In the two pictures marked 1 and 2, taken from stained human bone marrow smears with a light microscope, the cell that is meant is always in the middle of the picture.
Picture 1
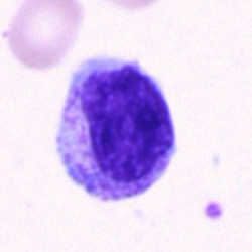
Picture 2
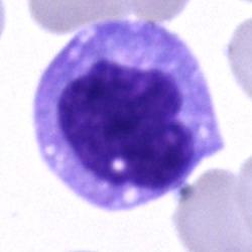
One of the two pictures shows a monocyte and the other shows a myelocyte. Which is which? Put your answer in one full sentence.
The cell in picture 1 is a myelocyte, and the one in picture 2 is a monocyte.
